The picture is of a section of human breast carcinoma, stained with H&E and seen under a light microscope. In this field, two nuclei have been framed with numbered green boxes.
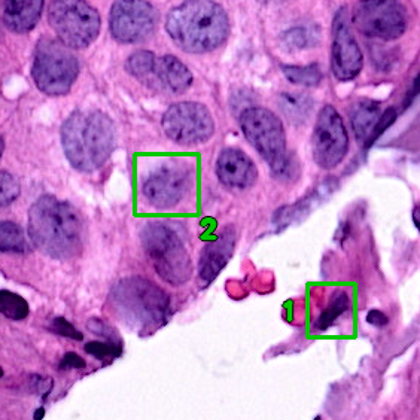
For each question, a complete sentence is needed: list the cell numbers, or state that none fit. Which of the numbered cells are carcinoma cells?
Among the marked cells, cell number 2 alone is a carcinoma cell.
